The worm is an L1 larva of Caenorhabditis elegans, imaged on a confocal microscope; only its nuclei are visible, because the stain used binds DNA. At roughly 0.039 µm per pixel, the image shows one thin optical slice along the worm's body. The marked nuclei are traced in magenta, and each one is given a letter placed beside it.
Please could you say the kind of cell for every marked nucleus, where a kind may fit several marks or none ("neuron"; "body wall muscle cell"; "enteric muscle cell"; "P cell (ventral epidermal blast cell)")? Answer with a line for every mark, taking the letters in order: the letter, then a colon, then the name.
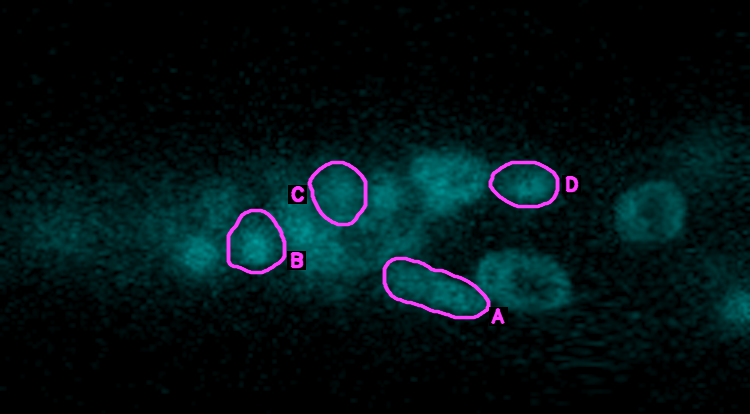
A: body wall muscle cell
B: neuron
C: neuron
D: enteric muscle cell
